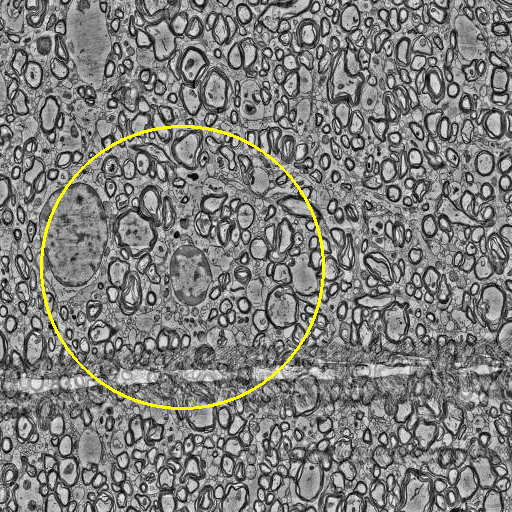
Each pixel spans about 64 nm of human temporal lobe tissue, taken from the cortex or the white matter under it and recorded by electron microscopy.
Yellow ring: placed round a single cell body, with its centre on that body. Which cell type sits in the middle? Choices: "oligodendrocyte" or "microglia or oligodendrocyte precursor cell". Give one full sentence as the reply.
It is a microglial cell or oligodendrocyte precursor cell whose cell body sits at the centre of the yellow ring.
